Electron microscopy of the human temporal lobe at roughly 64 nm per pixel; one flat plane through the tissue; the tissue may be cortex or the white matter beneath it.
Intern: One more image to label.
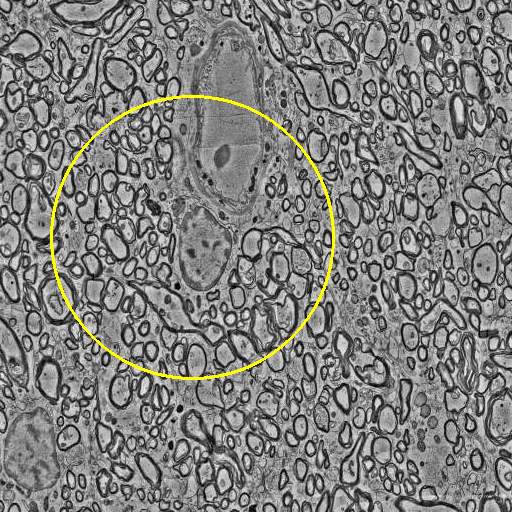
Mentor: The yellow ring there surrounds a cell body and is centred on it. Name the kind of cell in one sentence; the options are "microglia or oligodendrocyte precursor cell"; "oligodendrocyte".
The ring marks the cell body of a microglial cell or oligodendrocyte precursor cell.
